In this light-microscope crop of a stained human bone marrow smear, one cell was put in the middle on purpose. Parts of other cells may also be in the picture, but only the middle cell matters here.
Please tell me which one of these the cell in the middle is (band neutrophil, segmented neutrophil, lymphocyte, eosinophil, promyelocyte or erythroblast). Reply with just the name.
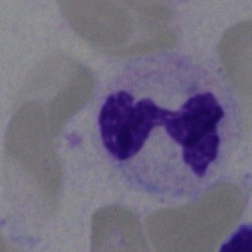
segmented neutrophil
